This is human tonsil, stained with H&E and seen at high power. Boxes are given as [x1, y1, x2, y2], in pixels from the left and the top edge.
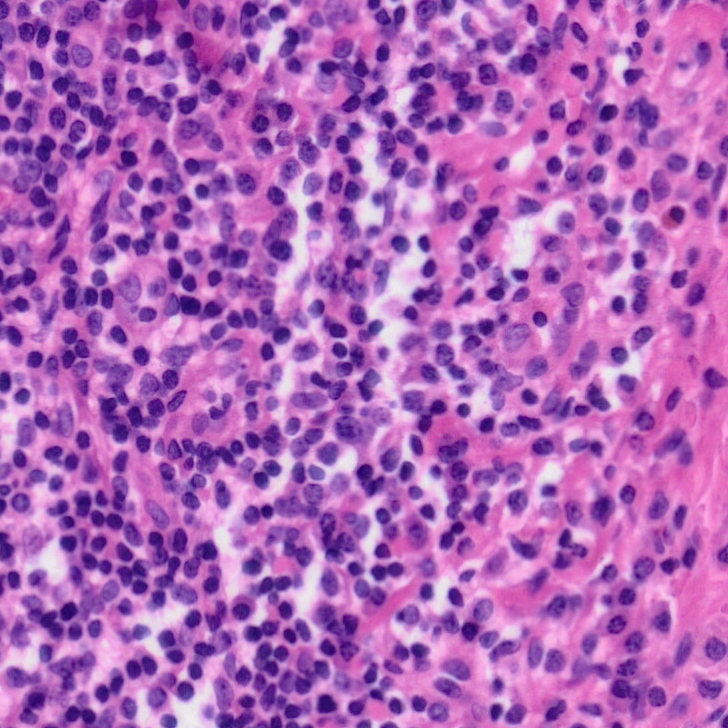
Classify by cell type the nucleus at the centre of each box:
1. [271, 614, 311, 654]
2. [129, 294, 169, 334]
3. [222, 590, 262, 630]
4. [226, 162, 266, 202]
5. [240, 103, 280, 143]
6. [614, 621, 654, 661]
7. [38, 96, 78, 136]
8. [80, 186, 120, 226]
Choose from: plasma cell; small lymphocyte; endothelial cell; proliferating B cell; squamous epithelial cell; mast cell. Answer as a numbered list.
1. small lymphocyte
2. endothelial cell
3. plasma cell
4. plasma cell
5. plasma cell
6. plasma cell
7. plasma cell
8. endothelial cell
